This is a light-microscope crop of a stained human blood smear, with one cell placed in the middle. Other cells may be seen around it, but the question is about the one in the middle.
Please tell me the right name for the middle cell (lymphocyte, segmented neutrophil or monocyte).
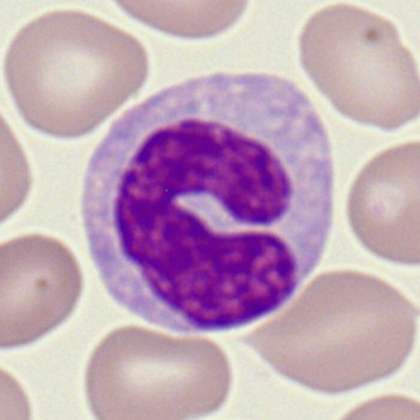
monocyte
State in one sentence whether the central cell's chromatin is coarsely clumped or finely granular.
Answer: the chromatin in this nucleus is coarsely clumped.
